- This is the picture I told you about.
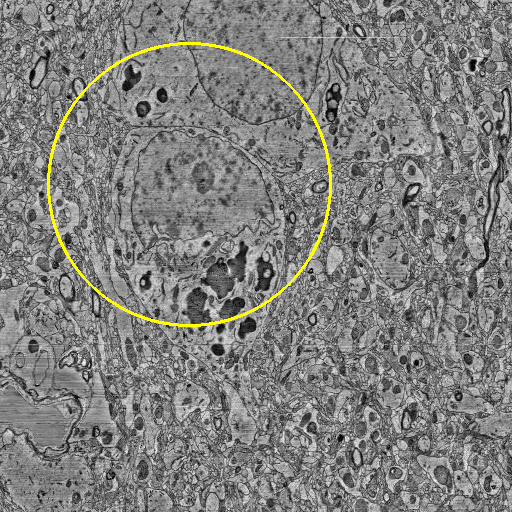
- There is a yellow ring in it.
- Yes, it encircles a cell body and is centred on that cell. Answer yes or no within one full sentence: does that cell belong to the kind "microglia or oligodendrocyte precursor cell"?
No, the cell on which the yellow ring is centred belongs to a different kind.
